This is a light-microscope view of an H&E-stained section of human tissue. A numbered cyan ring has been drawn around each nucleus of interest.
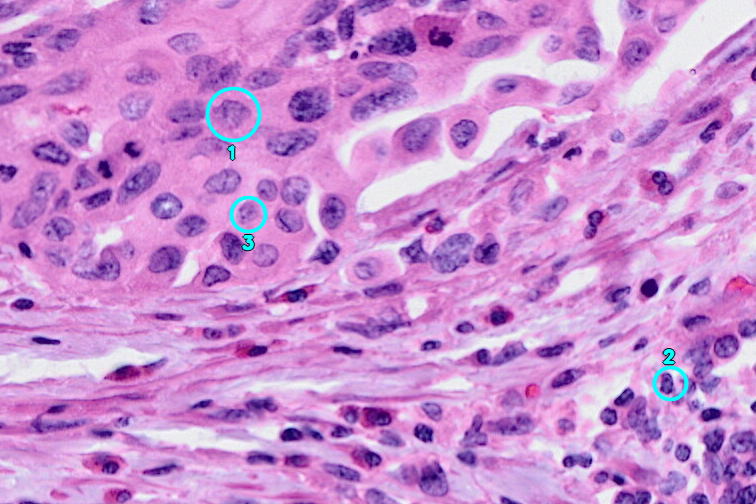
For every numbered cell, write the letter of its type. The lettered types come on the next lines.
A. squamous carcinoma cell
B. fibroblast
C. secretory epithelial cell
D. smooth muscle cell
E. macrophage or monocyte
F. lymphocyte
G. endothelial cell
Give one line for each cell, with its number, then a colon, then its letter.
1: A
2: F
3: A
